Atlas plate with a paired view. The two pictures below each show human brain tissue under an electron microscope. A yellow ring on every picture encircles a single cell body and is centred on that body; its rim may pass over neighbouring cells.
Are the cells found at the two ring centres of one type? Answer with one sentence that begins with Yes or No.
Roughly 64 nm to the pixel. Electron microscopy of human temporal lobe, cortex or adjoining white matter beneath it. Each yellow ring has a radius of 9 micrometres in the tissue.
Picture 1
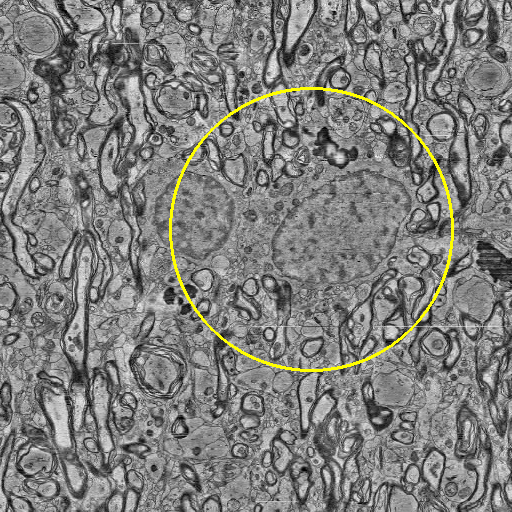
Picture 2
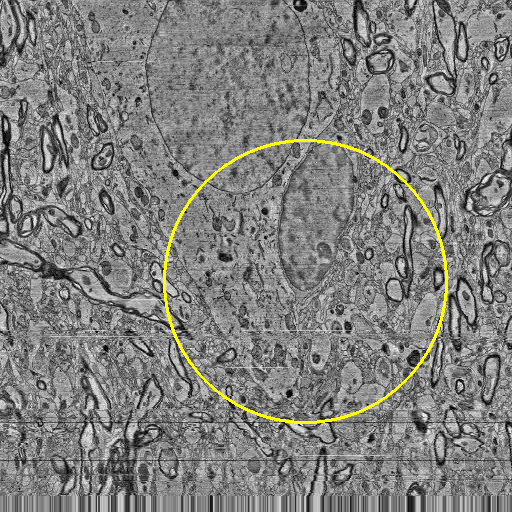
Yes, the two cells lying at the centres of the rings share a single type.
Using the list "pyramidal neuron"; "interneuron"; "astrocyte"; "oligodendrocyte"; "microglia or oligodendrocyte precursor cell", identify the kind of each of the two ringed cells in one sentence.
In the first picture and in the second, the ring is centred on an oligodendrocyte.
